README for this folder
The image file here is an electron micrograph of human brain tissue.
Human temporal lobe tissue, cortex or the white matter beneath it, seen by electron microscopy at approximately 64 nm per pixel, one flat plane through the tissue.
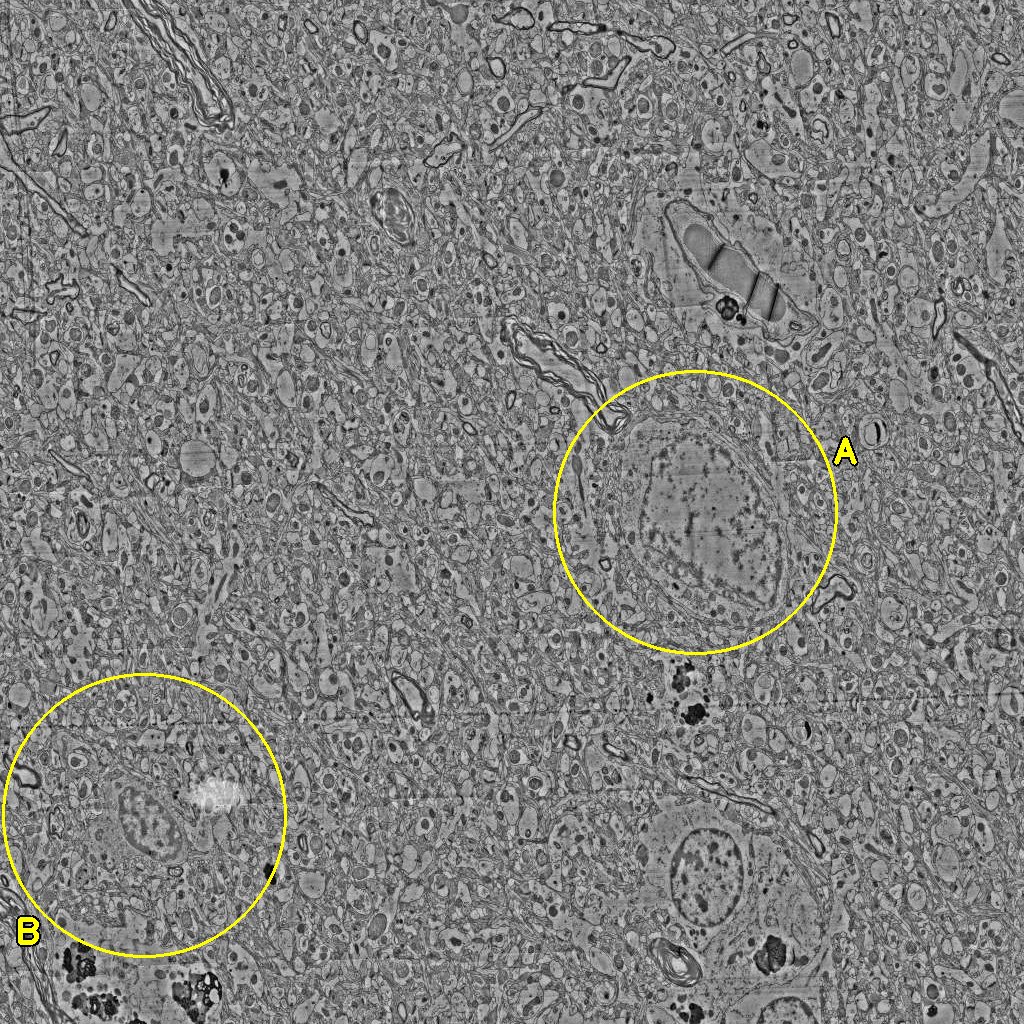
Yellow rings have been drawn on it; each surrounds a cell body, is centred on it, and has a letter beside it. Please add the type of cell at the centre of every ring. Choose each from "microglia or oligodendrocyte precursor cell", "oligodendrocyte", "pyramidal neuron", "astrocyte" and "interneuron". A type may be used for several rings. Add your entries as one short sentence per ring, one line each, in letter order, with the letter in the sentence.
Ring A marks the cell body of an interneuron.
Ring B marks the cell body of an oligodendrocyte.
